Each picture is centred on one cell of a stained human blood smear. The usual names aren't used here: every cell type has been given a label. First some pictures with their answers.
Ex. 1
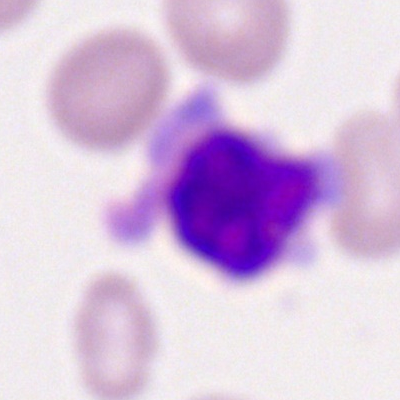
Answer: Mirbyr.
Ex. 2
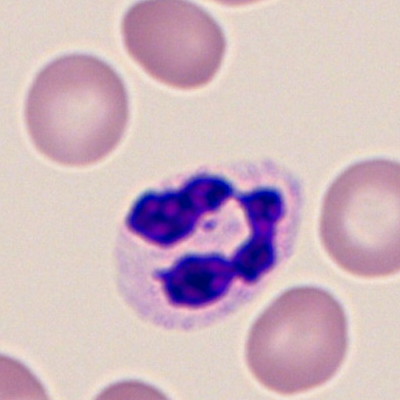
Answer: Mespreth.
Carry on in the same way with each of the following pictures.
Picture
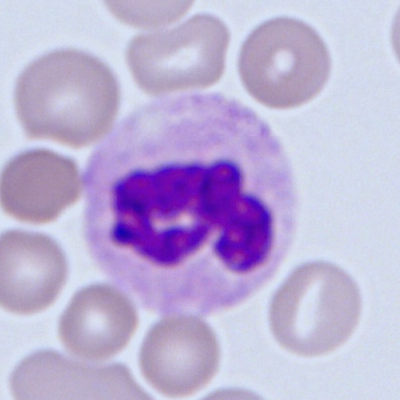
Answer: Mespreth.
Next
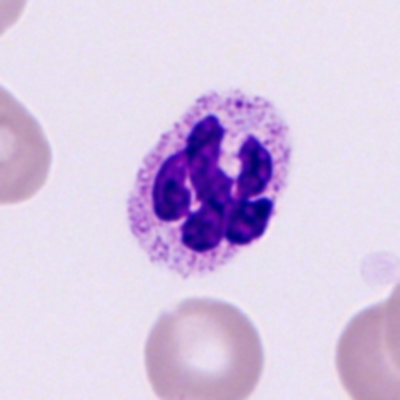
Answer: Mespreth.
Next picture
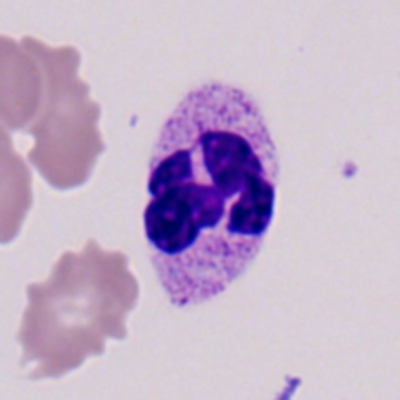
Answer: Mespreth.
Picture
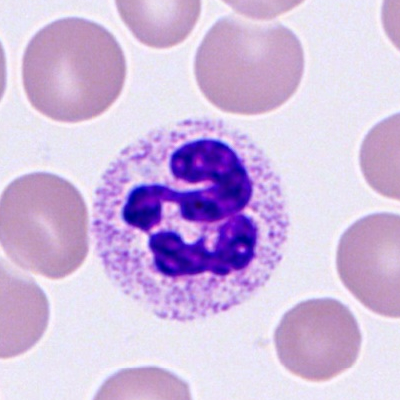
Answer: Mespreth.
